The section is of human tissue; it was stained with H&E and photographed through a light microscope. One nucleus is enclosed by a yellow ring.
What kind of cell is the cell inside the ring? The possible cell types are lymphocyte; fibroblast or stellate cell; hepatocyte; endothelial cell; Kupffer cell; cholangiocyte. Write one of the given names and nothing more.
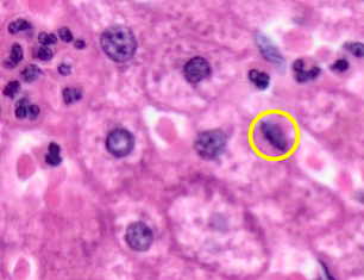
fibroblast or stellate cell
